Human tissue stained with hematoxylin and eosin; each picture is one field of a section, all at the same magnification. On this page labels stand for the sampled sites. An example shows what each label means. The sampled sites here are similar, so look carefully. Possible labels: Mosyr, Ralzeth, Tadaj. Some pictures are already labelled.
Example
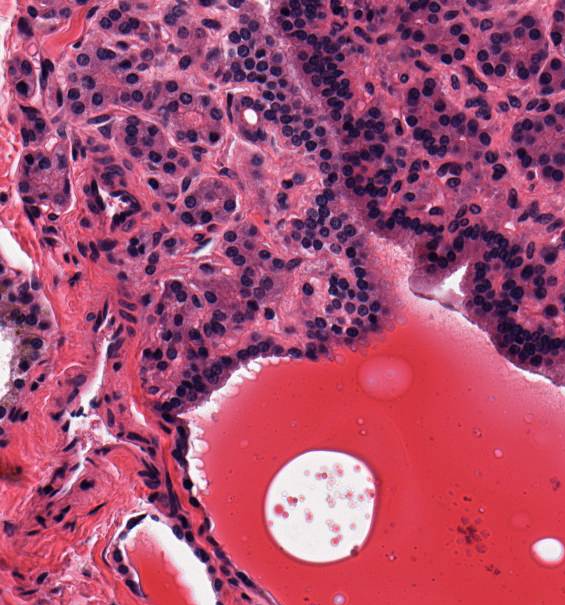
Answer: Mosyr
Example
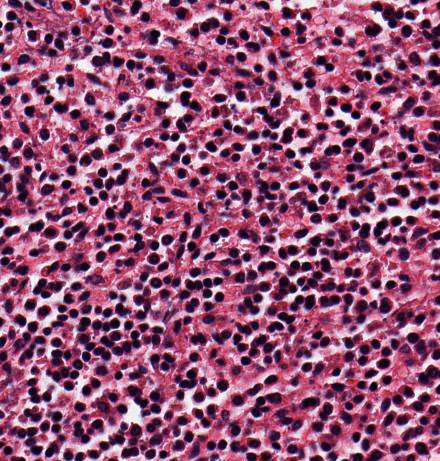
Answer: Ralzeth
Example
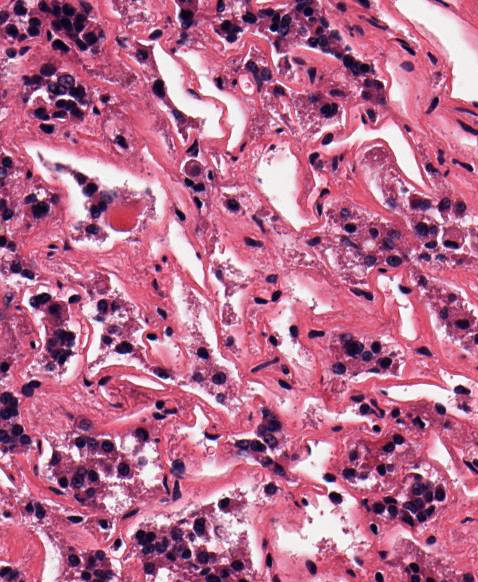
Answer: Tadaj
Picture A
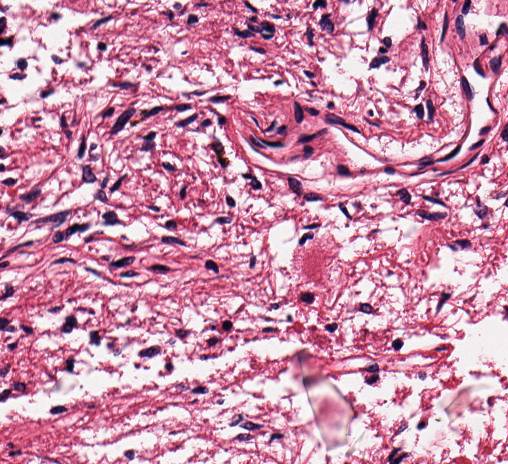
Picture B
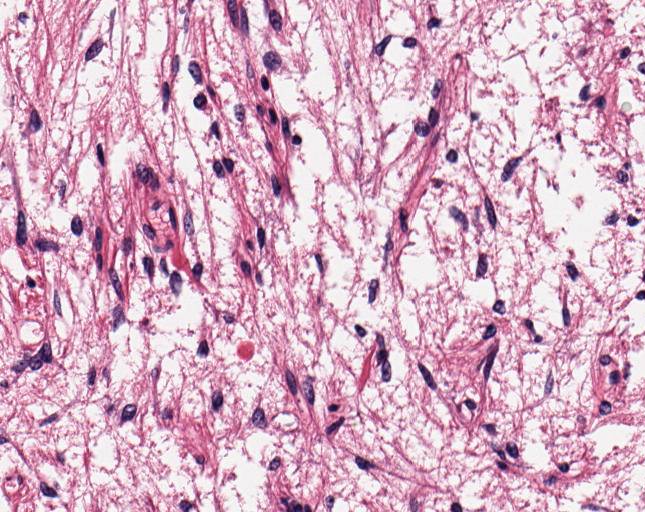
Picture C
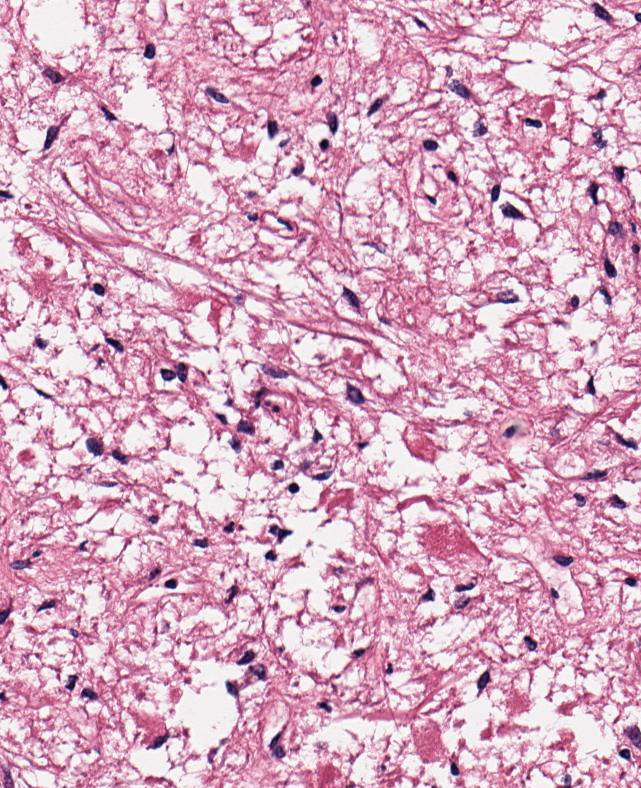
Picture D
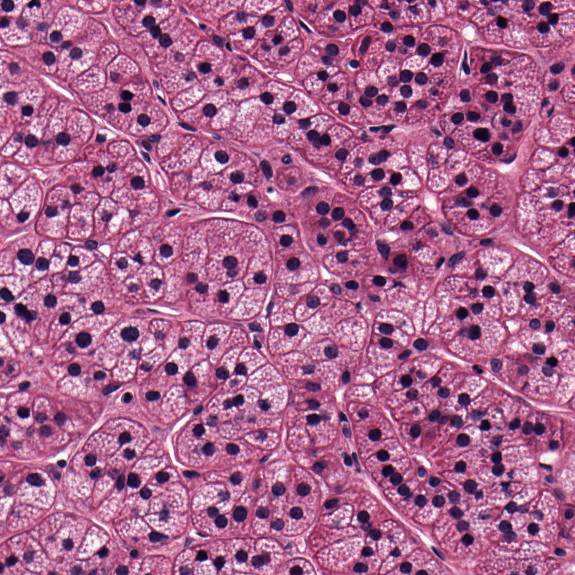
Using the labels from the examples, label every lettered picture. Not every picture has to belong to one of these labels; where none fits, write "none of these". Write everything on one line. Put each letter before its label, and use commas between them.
A Tadaj, B Tadaj, C Tadaj, D none of these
